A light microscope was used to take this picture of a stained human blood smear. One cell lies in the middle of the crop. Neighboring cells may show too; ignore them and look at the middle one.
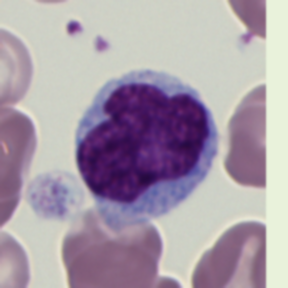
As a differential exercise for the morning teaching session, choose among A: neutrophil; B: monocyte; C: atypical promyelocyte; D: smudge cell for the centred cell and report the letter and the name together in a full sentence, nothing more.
The middle of the crop contains a monocyte, so option B is right.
